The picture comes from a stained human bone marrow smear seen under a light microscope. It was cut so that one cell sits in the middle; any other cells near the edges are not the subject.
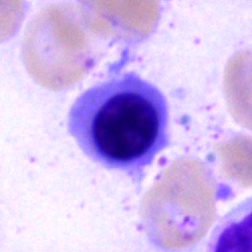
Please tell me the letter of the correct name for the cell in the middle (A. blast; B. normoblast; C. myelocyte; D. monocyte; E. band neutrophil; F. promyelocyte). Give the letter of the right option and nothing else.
B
